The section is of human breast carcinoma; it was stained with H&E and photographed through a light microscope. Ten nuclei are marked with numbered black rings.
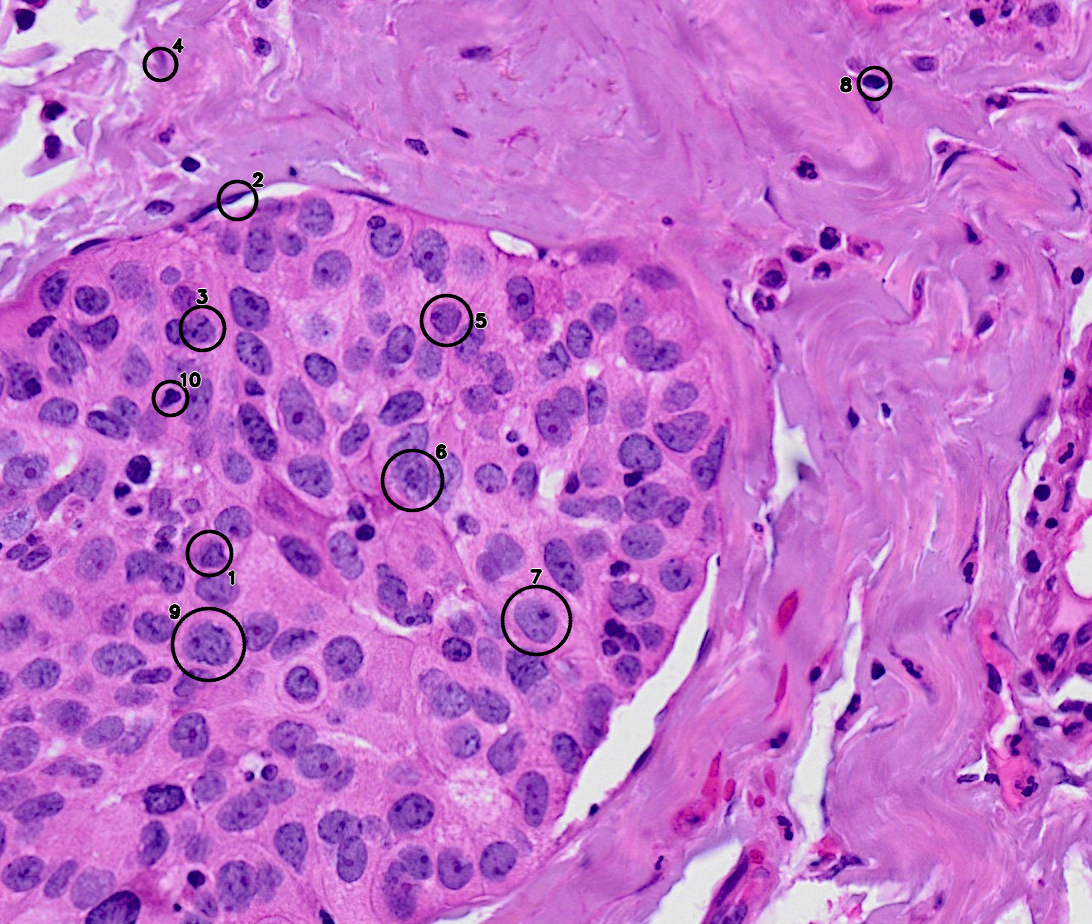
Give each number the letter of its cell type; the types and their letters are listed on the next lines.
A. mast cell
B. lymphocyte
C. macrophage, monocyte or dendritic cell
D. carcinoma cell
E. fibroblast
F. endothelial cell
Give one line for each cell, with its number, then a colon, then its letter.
1: D
2: F
3: D
4: E
5: D
6: D
7: D
8: B
9: D
10: B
